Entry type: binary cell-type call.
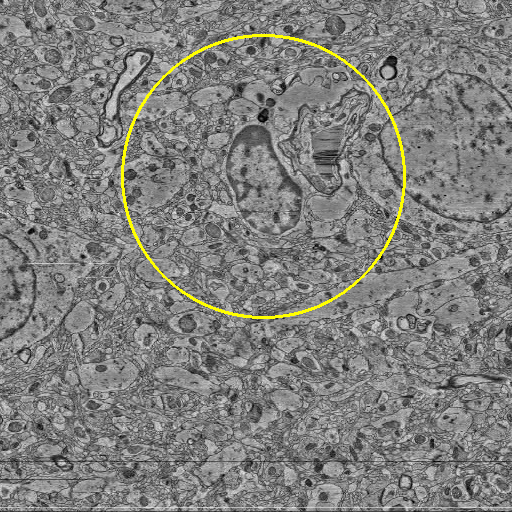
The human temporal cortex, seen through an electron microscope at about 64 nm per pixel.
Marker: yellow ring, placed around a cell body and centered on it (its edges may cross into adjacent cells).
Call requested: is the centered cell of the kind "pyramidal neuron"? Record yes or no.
no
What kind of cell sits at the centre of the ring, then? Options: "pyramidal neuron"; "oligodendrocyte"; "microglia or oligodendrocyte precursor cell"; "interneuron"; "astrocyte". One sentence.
As it turns out, the cell at the ring centre is a microglial cell or oligodendrocyte precursor cell.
